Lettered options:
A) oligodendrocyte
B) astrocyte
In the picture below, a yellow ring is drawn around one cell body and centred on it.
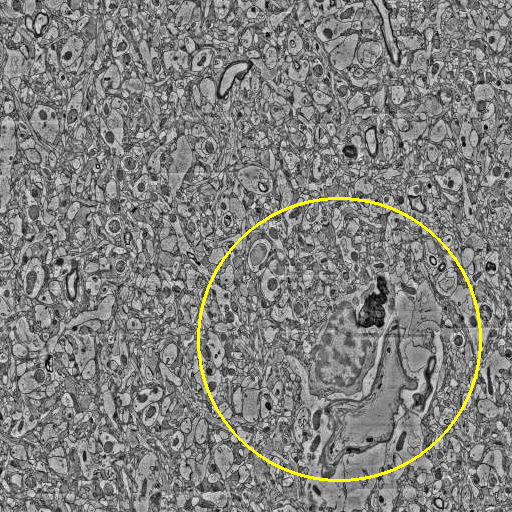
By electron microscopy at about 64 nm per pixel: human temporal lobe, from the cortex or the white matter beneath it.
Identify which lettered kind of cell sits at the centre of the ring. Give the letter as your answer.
A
